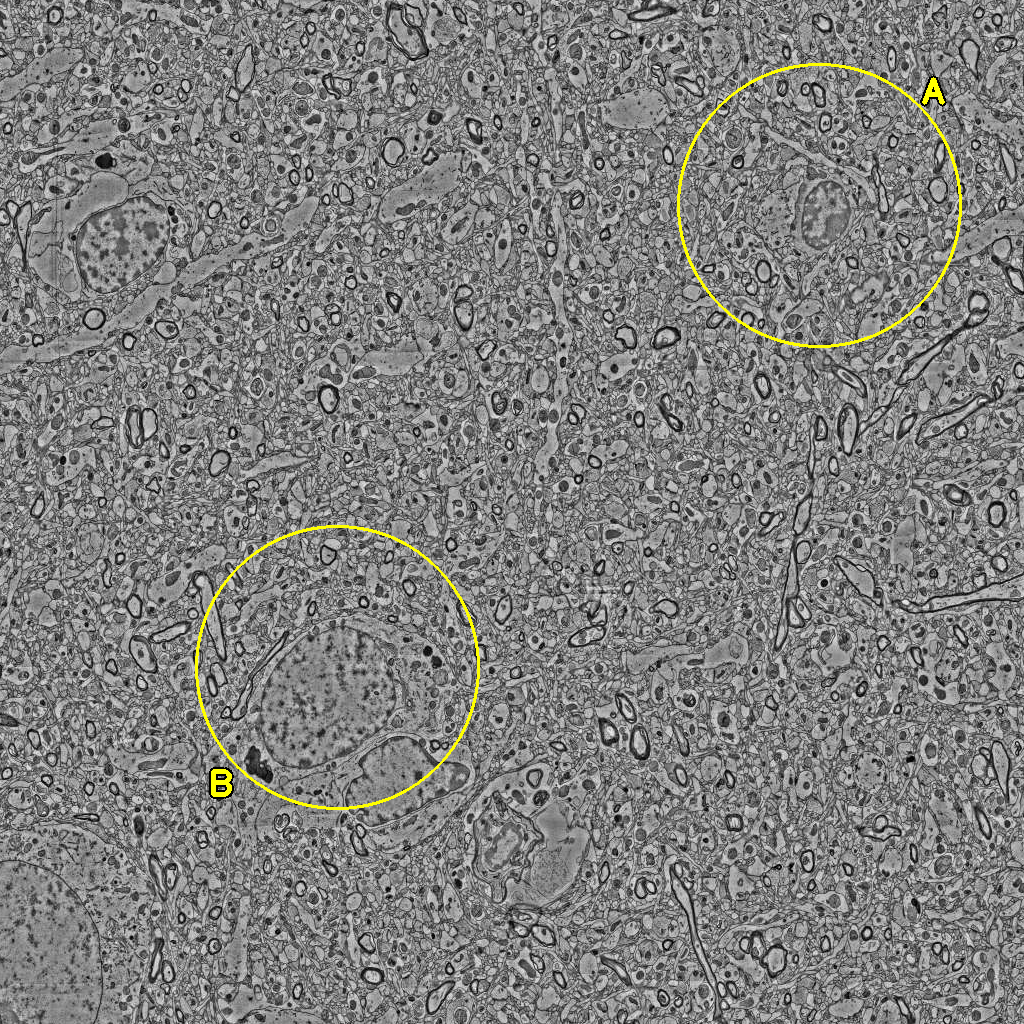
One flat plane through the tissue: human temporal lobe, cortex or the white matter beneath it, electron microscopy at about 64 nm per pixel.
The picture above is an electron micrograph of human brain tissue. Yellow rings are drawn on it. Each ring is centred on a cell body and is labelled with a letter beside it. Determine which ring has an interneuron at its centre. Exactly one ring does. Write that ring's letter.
B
